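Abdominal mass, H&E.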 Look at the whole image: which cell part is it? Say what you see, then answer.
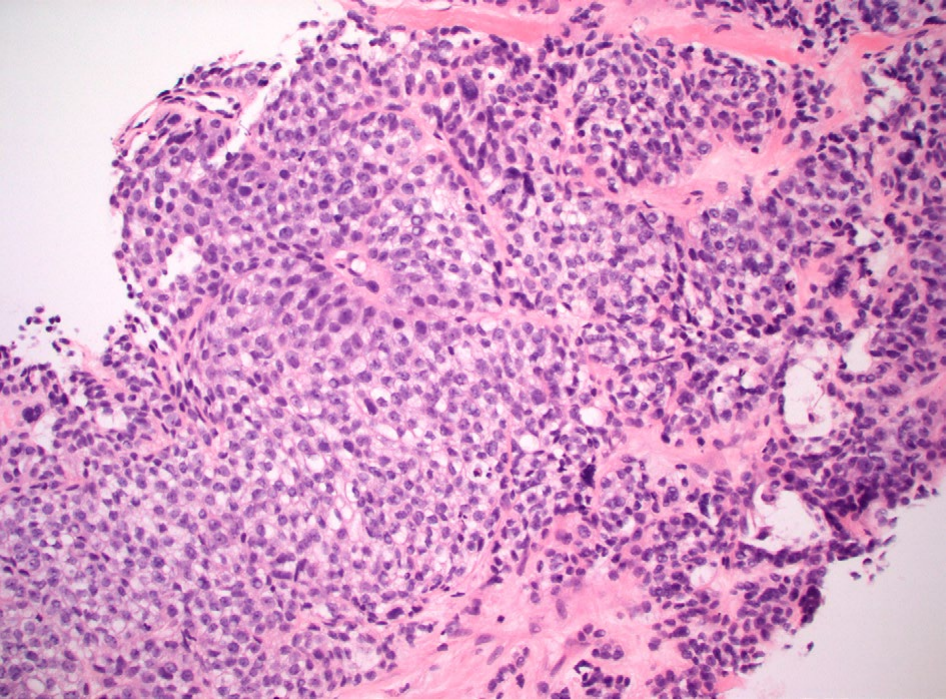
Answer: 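Minimal to moderate eosinophilic to clear cytoplasm. Cells have scant pale pink to clear cytoplasm. Small clear spaces lie within and between cells.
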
